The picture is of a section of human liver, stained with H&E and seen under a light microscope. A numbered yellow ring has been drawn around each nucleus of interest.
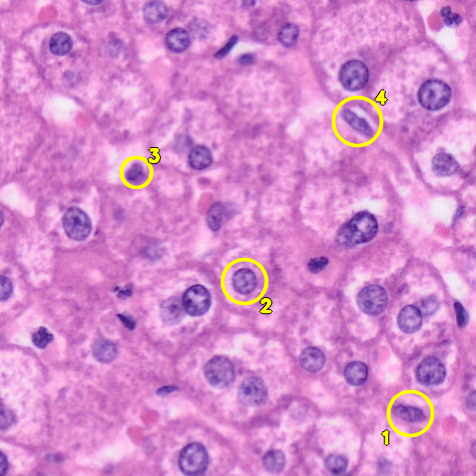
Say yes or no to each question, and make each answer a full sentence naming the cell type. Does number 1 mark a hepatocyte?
No, cell 1 is identified not as a hepatocyte but as a Kupffer cell.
